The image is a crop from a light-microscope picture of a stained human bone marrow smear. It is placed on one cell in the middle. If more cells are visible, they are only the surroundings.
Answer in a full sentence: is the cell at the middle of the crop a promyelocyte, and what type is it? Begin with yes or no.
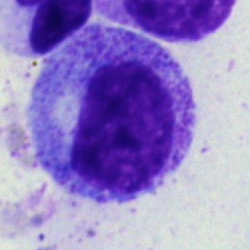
Yes, the cell occupying the middle of the crop is a promyelocyte.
